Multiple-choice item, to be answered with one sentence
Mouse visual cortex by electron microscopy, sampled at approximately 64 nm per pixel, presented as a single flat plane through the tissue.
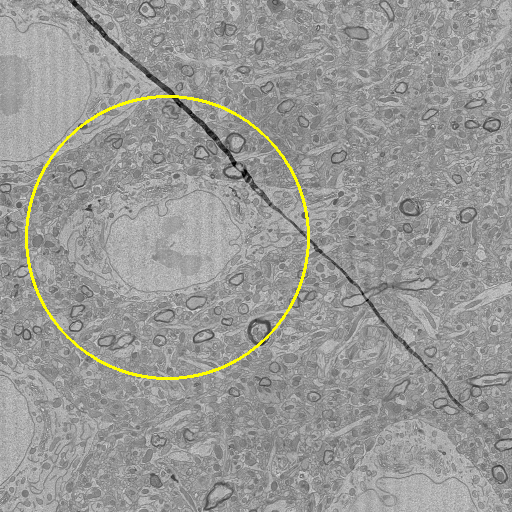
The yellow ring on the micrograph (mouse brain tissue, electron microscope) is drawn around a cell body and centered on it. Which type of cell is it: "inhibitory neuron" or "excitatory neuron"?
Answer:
The ring is centered on an inhibitory neuron.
